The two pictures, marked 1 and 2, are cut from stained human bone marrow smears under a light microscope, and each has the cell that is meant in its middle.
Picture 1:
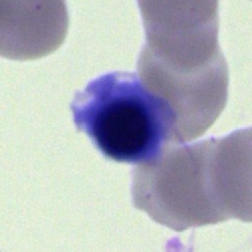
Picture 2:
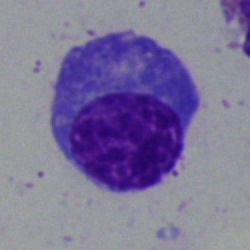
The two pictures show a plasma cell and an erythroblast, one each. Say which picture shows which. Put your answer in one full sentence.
Picture 1 shows an erythroblast and picture 2 shows a plasma cell.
